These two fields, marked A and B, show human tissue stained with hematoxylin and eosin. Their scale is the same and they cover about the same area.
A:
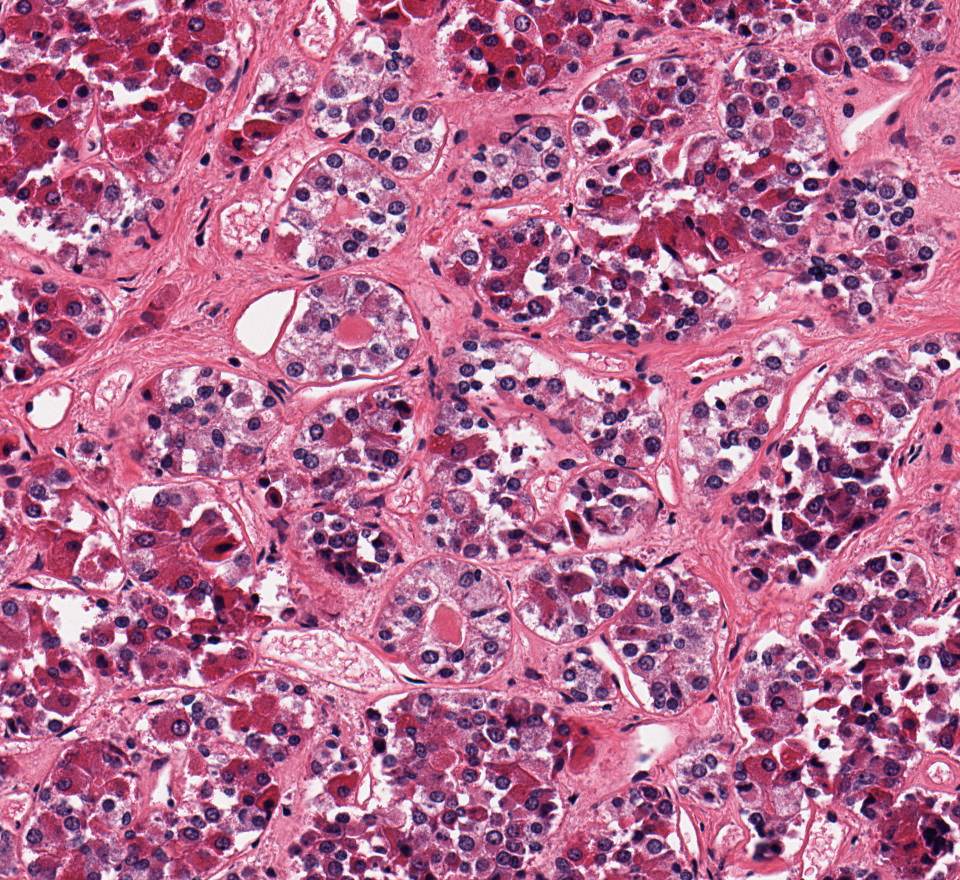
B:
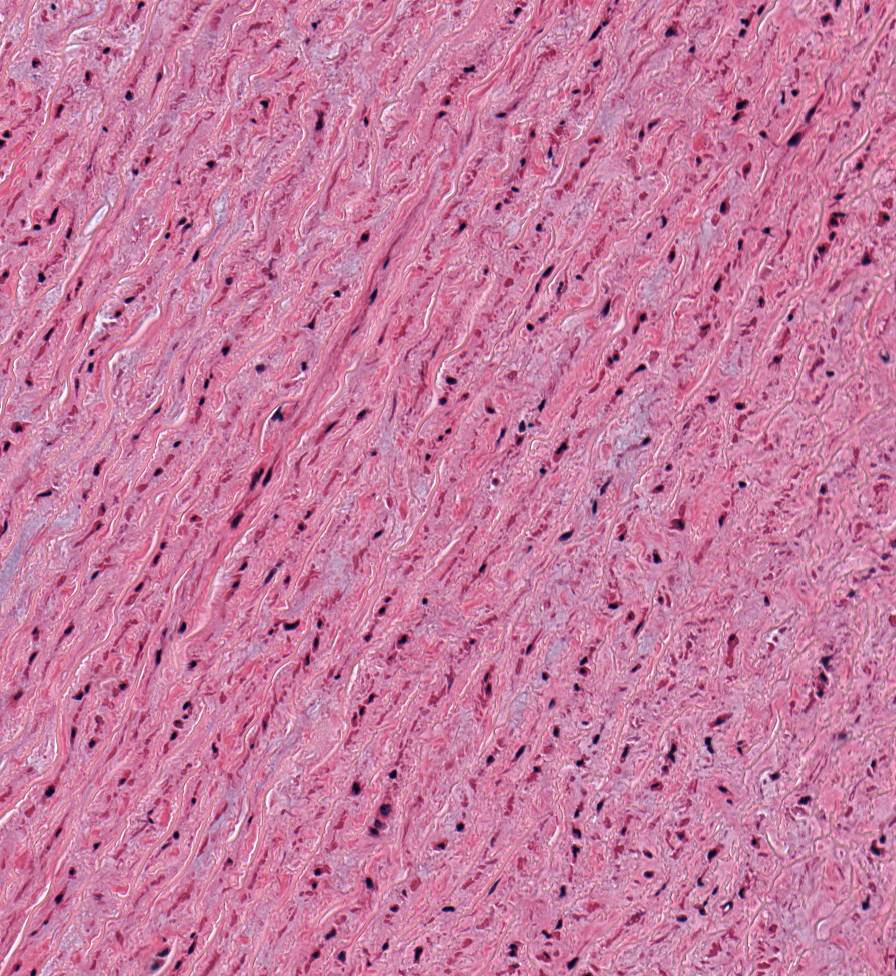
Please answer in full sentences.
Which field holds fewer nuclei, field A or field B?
Fewer nuclei lie in field B than in field A.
